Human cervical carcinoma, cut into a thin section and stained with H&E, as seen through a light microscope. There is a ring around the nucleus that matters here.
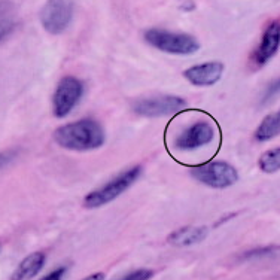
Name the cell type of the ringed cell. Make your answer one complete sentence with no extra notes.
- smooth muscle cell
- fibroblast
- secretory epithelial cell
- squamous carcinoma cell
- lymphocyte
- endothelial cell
In this section, the ringed cell is a fibroblast.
